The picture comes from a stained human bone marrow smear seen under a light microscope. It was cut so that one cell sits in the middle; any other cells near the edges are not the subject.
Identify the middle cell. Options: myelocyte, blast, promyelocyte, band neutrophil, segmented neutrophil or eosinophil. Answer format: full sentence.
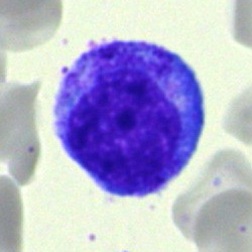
The cell at the centre of the field is a promyelocyte.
